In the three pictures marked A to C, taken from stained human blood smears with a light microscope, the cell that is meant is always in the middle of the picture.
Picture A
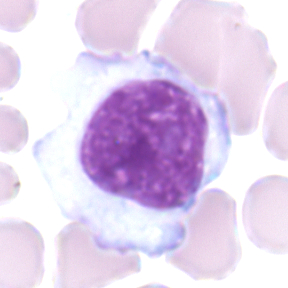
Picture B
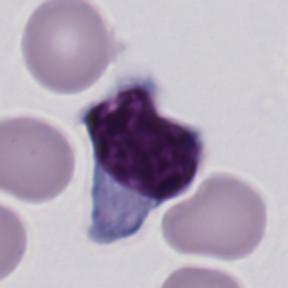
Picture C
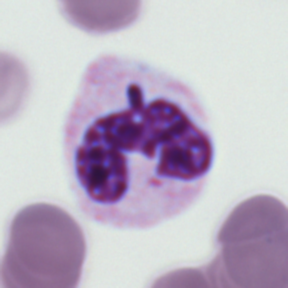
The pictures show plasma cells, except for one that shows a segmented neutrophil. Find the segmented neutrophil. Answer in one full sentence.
Picture C is the one that shows the segmented neutrophil.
